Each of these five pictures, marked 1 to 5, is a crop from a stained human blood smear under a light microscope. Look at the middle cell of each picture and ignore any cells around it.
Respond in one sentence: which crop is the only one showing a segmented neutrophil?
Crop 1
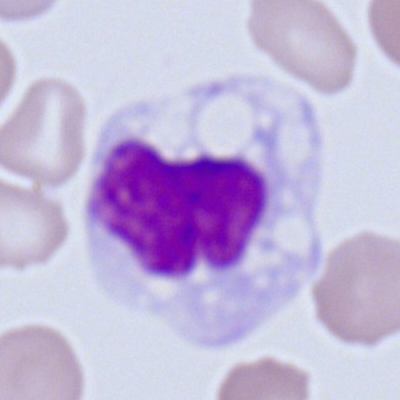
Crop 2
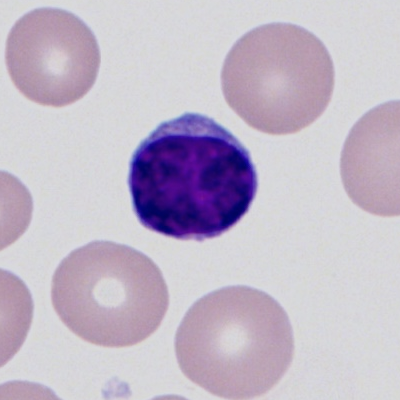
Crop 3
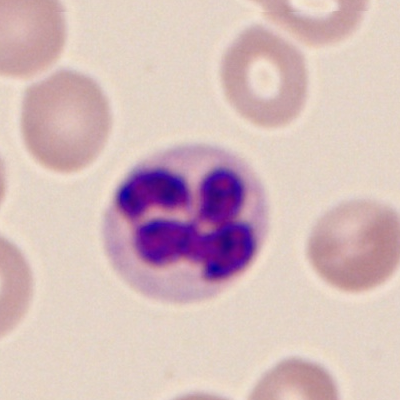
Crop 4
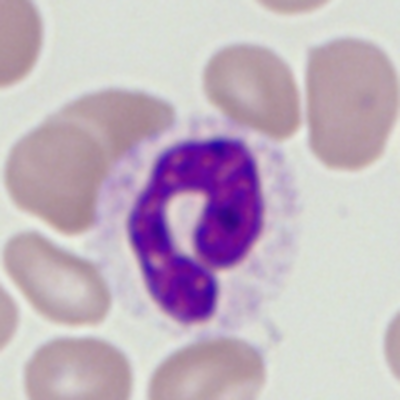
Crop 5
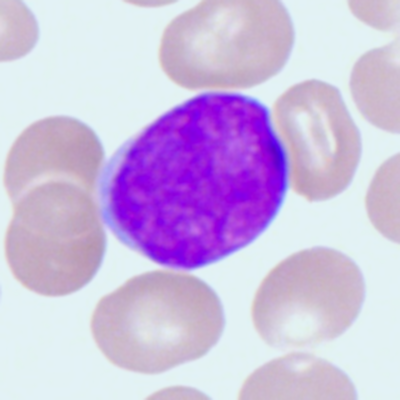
Of the crops shown, crop 3 depicts a segmented neutrophil.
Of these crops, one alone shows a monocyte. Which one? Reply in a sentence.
Crop 1 is identified as the crop showing a monocyte.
